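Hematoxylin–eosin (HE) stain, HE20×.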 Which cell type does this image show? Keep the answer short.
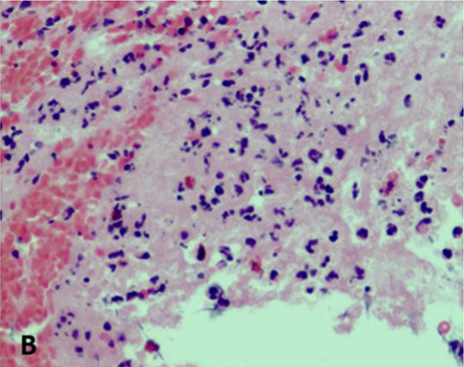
Neutrophils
